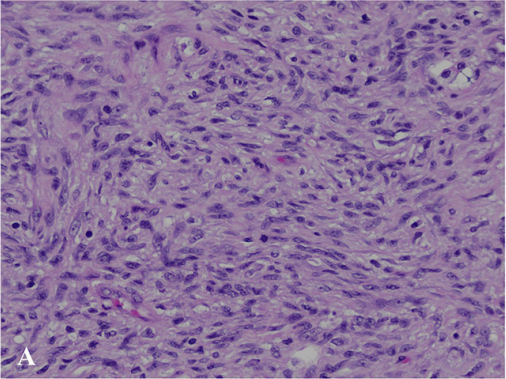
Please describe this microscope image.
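This is a tumour made of neoplastic spindle cells, packed densely into disorganized bundles and streams. The streams interweave and run in different directions across the field. The nuclei are elongated to oval, and the cells have pale, poorly defined pink cytoplasm. Only scant fibrous stroma lies between the cells, with a few small vessels.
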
